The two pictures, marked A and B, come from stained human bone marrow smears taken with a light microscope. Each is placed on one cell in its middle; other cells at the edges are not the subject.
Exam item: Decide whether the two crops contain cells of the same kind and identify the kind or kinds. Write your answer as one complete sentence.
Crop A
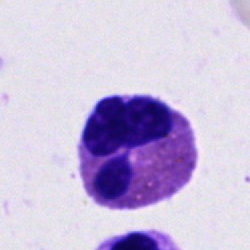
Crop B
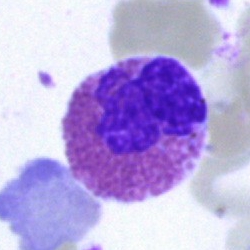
Yes, in the middle of both crops lie eosinophils.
